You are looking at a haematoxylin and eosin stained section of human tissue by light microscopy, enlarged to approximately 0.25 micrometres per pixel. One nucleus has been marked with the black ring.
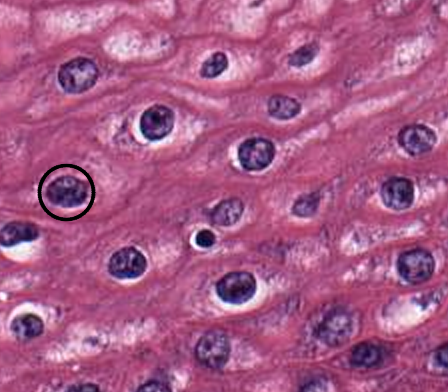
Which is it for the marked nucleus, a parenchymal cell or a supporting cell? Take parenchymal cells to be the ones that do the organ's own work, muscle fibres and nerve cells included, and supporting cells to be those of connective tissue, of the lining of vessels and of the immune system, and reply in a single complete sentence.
The cell to which the marked nucleus belongs is a squamous epithelial cell, a parenchymal cell.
